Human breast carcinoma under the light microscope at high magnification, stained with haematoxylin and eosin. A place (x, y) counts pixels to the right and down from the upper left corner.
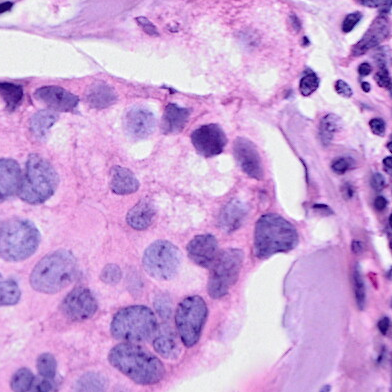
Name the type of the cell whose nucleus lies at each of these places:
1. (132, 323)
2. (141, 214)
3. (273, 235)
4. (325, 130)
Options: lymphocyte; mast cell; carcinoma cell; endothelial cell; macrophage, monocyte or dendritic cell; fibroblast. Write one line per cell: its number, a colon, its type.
1: carcinoma cell
2: carcinoma cell
3: carcinoma cell
4: macrophage, monocyte or dendritic cell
